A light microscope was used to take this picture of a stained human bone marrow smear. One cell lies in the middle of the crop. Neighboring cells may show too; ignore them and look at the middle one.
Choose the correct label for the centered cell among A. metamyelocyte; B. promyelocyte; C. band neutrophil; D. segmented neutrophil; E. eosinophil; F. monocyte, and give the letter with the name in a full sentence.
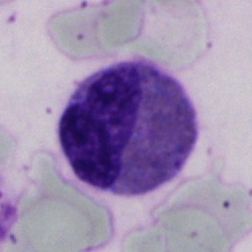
The middle of the crop holds an eosinophil, which points to option E.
